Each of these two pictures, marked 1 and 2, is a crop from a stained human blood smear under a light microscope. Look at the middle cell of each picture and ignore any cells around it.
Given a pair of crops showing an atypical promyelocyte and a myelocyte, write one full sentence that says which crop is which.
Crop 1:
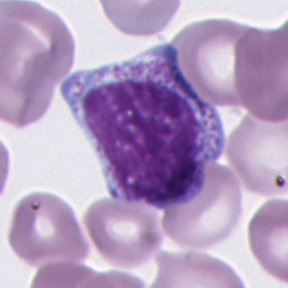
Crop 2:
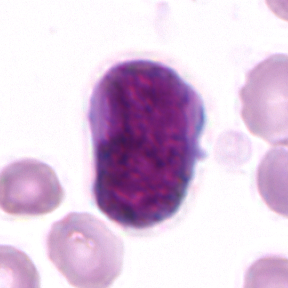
In short, crop 1 is a myelocyte and crop 2 is an atypical promyelocyte.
